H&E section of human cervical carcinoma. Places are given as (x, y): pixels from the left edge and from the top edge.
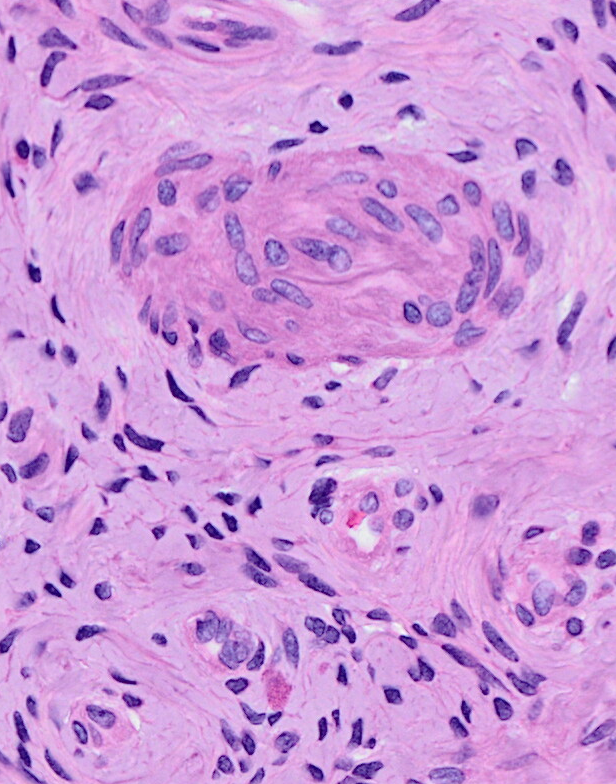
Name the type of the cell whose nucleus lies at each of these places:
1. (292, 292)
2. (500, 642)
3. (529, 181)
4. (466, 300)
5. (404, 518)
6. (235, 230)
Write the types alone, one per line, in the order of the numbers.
smooth muscle cell
fibroblast
fibroblast
smooth muscle cell
smooth muscle cell
smooth muscle cell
